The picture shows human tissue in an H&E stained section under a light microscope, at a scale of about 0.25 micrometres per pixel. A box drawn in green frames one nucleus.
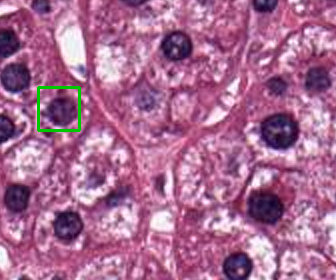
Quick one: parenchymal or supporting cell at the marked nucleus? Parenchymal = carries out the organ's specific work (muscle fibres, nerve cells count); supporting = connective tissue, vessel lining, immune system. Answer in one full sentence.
Here the marked nucleus belongs to a parenchymal cell, that is, an adrenal cortical cell.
